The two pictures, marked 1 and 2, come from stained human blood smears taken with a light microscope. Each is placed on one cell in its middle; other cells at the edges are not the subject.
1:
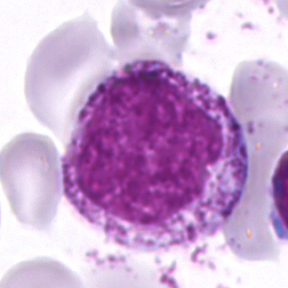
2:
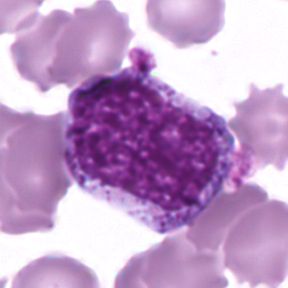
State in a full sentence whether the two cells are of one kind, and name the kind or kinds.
Yes, myelocytes are the cells shown in both crops.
